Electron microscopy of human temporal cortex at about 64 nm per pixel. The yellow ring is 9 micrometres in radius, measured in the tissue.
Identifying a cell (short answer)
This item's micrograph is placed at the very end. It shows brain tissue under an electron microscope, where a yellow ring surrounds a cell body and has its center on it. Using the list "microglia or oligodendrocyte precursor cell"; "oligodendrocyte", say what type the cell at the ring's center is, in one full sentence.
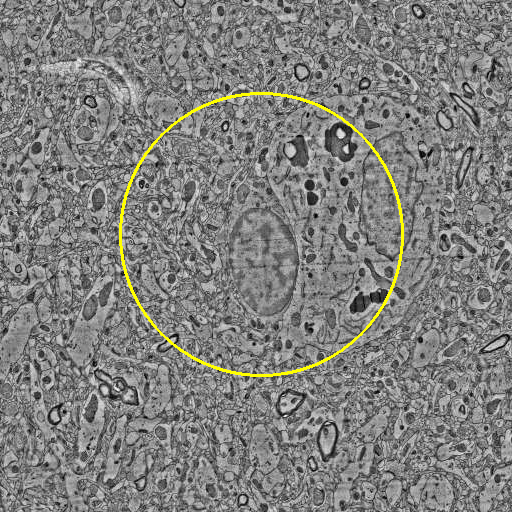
This picture shows an oligodendrocyte at the center of the yellow ring drawn on it.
